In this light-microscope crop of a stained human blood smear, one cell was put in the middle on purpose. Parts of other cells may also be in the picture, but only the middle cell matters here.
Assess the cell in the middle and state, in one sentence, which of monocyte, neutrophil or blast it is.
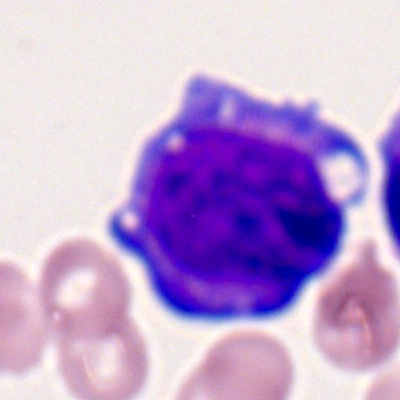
The cell at the middle of the crop is recognized as a blast.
